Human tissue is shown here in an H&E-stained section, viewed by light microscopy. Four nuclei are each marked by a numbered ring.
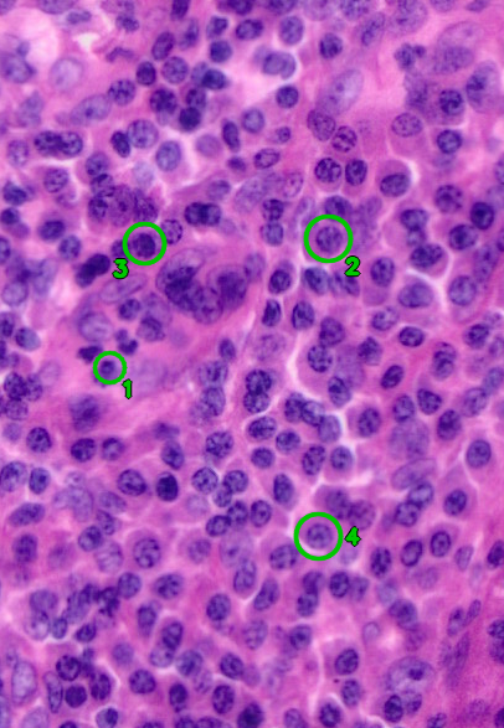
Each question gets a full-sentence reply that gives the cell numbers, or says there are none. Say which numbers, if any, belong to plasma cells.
The cells tagged 2, 3 and 4 are plasma cells in this tissue section.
